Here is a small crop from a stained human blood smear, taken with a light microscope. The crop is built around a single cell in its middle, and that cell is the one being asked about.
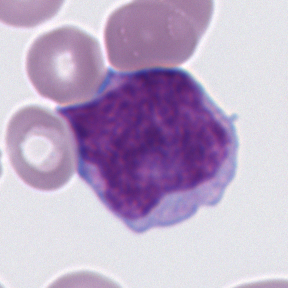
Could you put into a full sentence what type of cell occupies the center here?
Here the centrally located cell is an atypical promyelocyte.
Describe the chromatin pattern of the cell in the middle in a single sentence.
The chromatin is delicate and fine, lacking coarse clumping entirely.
